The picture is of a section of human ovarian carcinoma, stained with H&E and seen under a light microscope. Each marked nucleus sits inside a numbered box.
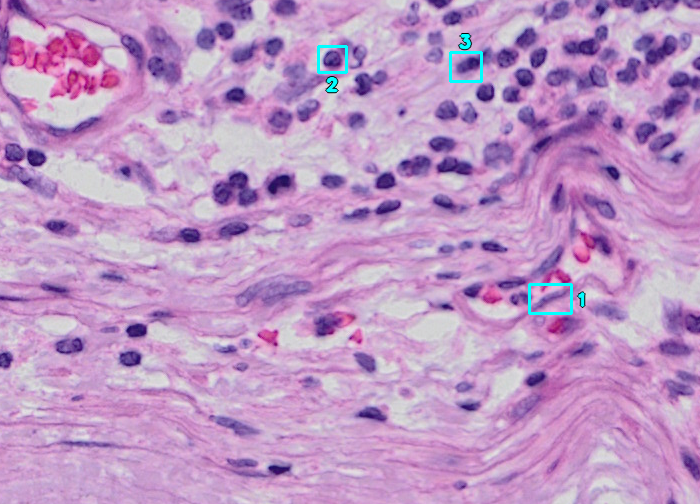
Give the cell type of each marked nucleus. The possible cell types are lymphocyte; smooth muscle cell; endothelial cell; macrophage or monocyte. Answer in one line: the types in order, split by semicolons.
endothelial cell; lymphocyte; lymphocyte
